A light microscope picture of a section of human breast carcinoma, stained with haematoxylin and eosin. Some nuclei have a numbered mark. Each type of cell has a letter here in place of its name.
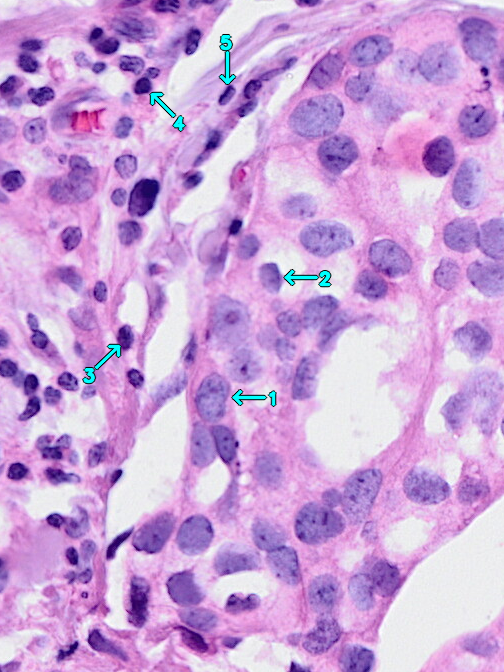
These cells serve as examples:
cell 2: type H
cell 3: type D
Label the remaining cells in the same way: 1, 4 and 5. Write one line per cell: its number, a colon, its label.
1: type H
4: type D
5: type D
